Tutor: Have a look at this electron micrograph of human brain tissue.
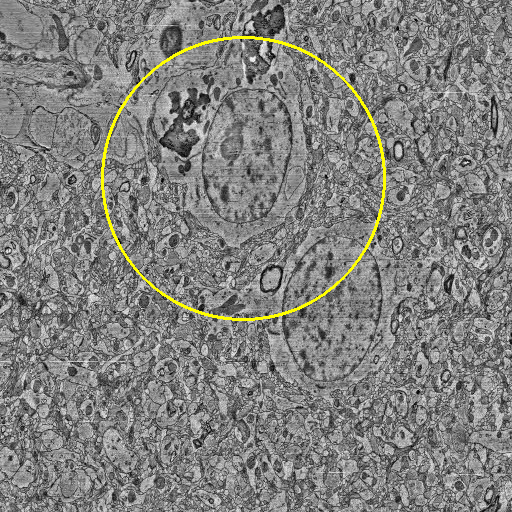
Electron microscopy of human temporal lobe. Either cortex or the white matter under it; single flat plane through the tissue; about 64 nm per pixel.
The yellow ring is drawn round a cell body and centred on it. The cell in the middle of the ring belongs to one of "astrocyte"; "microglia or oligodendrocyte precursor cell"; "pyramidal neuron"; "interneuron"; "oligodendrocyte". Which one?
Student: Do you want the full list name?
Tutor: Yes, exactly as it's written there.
astrocyte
